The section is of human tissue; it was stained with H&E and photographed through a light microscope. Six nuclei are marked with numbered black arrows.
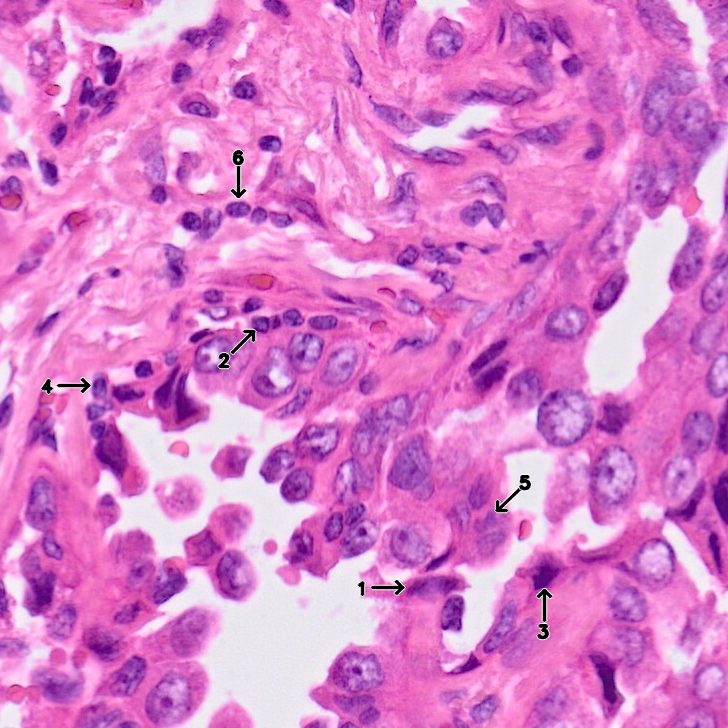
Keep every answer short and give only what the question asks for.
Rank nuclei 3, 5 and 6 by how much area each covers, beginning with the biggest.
3, 6, 5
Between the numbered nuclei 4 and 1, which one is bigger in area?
1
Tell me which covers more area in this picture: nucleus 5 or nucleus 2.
2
